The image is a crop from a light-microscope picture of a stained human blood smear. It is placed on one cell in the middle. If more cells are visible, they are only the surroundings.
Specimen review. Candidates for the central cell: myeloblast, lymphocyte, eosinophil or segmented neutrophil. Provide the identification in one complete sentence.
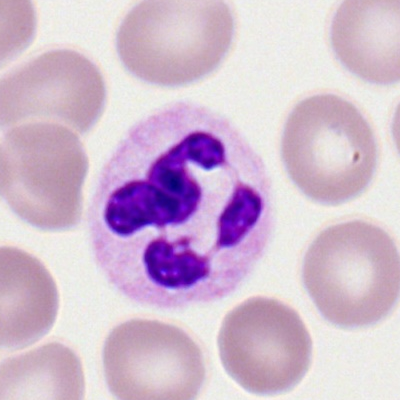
The cell centred in this crop is categorized as a segmented neutrophil.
